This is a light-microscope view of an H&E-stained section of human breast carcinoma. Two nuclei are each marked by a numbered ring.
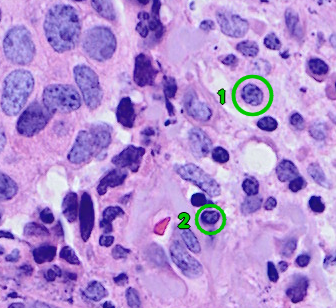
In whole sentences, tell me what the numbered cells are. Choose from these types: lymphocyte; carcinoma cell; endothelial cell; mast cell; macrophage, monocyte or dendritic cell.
Cell 1 is a mast cell. Cell 2 is a lymphocyte.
